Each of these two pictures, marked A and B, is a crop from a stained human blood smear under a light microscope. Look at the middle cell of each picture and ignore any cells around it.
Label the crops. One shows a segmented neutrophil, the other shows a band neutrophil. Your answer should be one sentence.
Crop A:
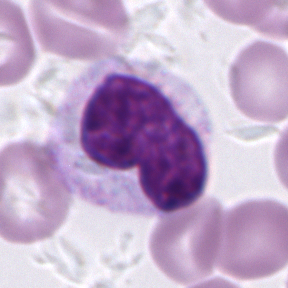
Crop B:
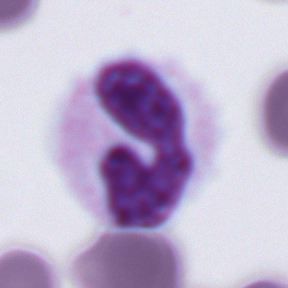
Crop A has a band neutrophil at its centre, and crop B has a segmented neutrophil.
